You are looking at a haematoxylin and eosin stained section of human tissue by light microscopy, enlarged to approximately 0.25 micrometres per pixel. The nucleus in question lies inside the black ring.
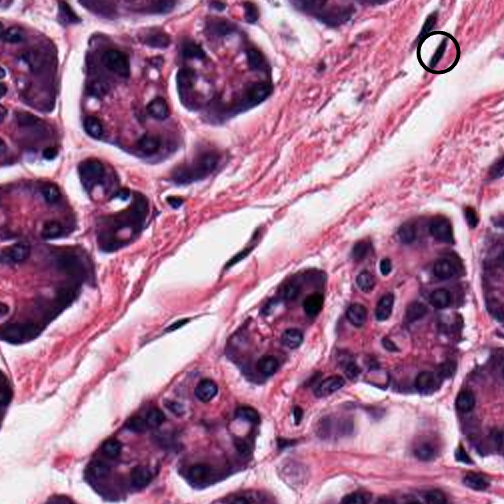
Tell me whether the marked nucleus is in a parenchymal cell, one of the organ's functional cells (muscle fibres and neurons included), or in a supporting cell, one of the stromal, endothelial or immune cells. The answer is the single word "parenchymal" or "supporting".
supporting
